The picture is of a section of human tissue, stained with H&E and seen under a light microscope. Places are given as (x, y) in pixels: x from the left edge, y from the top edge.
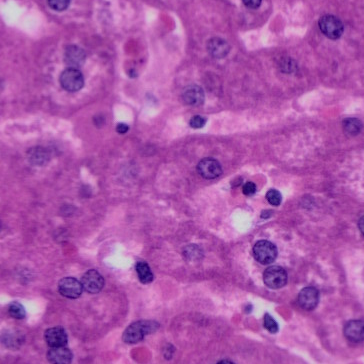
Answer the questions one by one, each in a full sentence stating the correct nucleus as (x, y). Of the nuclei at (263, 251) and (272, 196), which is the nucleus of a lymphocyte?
The nucleus at (272, 196) is the one of the two that belongs to a lymphocyte.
